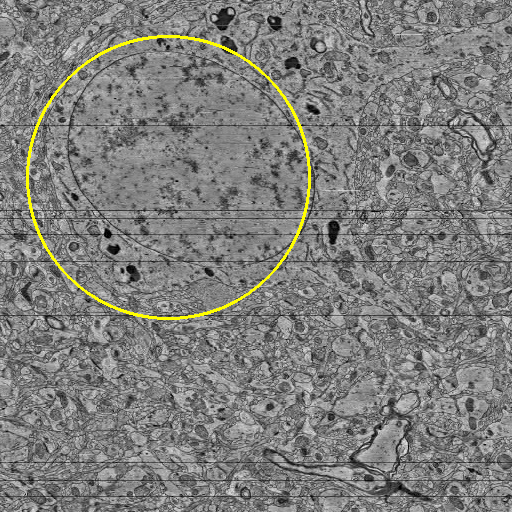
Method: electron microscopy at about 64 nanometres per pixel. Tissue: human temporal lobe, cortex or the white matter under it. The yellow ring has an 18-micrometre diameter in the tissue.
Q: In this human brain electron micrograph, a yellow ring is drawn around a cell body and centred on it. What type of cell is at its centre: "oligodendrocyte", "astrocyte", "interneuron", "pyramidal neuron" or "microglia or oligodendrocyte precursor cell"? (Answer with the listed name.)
pyramidal neuron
